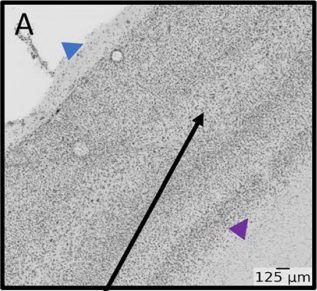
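The cortex is sharply layered: a thick band of densely packed small cells fills its middle depth, split by a thin paler stripe, and the cell density drops off clearly at its deep border. Individual cells appear as small, closely set dark dots with no conspicuously large cell bodies.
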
